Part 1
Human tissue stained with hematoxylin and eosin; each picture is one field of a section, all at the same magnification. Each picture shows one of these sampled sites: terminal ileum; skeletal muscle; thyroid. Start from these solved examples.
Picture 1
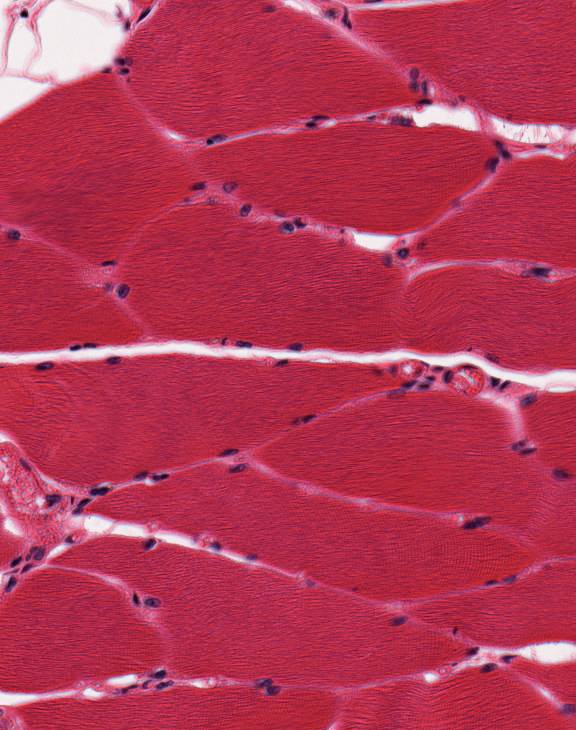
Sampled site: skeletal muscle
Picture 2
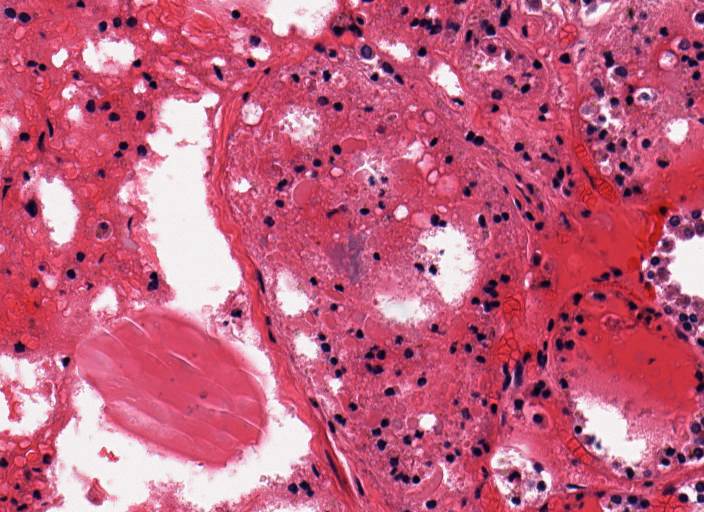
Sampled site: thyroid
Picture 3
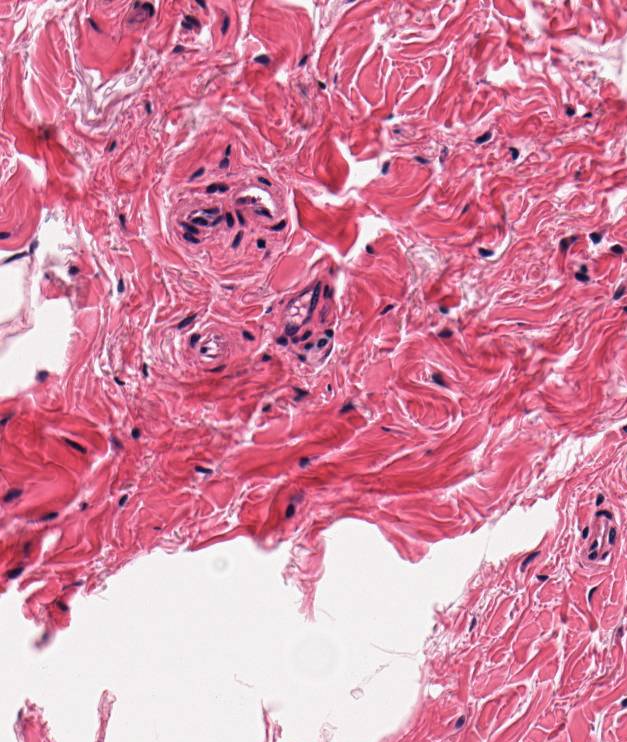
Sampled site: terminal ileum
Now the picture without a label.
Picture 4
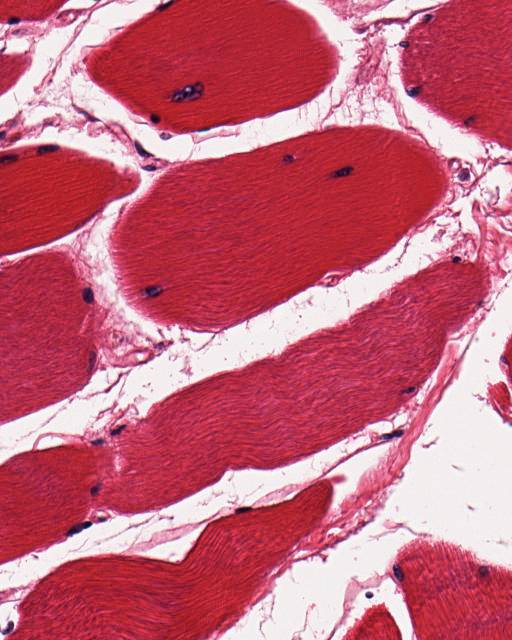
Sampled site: skeletal muscle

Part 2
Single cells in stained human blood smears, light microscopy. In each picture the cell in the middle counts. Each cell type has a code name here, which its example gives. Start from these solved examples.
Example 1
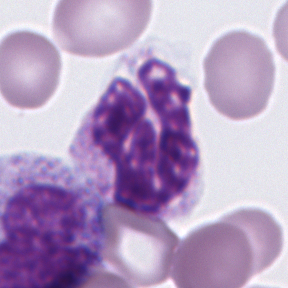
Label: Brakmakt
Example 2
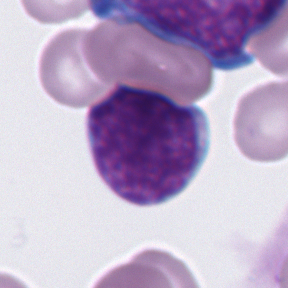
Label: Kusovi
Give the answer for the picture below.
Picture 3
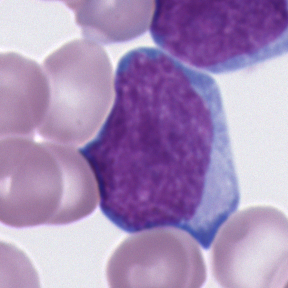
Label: Kusovi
